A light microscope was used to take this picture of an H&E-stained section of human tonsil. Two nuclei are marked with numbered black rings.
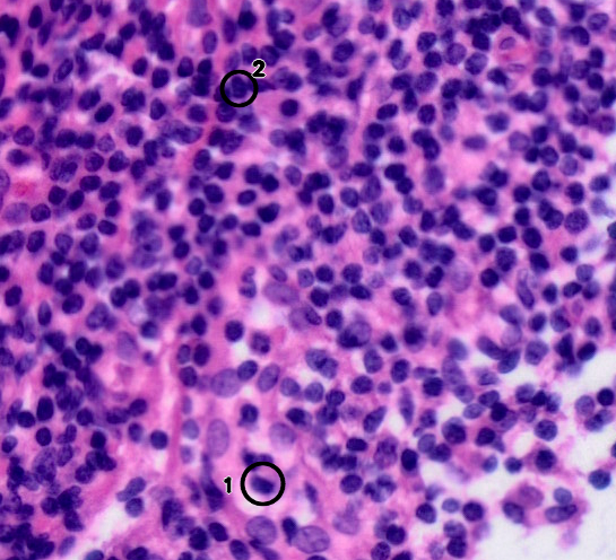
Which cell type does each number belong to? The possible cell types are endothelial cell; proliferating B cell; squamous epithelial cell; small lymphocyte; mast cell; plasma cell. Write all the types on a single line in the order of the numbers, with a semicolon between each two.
endothelial cell; small lymphocyte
